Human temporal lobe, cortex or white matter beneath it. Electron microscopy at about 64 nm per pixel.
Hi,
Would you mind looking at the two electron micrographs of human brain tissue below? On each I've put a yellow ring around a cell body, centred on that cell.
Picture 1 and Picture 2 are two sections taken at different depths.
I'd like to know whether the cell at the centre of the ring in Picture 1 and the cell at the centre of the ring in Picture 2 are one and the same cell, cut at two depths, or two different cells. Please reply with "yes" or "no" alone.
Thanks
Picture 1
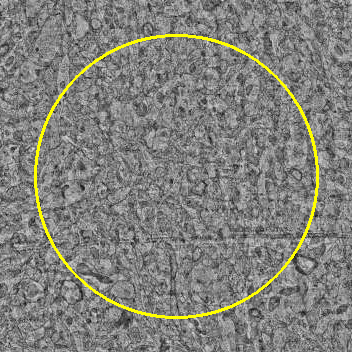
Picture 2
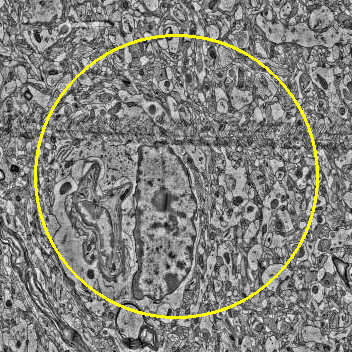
no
